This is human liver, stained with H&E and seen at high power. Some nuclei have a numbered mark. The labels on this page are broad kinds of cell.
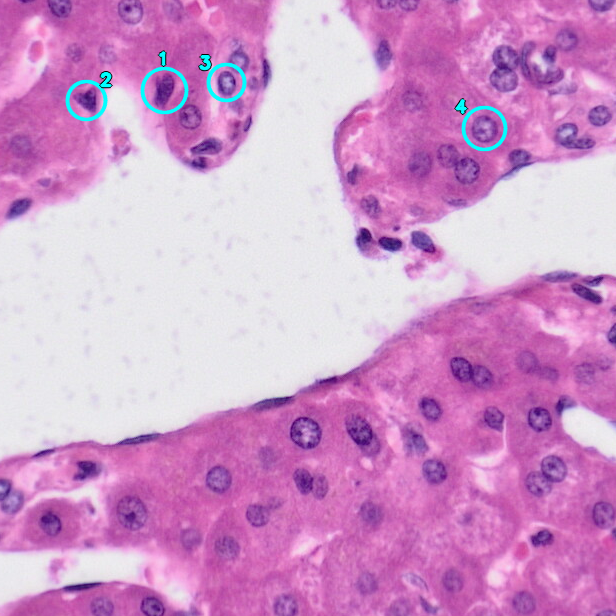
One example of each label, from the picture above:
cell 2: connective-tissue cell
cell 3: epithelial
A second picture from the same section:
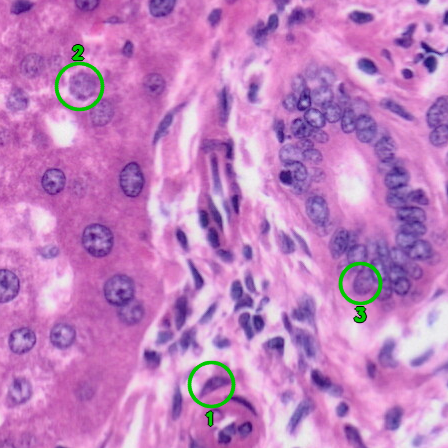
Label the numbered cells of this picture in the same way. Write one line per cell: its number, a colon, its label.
1: connective-tissue cell
2: epithelial
3: epithelial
